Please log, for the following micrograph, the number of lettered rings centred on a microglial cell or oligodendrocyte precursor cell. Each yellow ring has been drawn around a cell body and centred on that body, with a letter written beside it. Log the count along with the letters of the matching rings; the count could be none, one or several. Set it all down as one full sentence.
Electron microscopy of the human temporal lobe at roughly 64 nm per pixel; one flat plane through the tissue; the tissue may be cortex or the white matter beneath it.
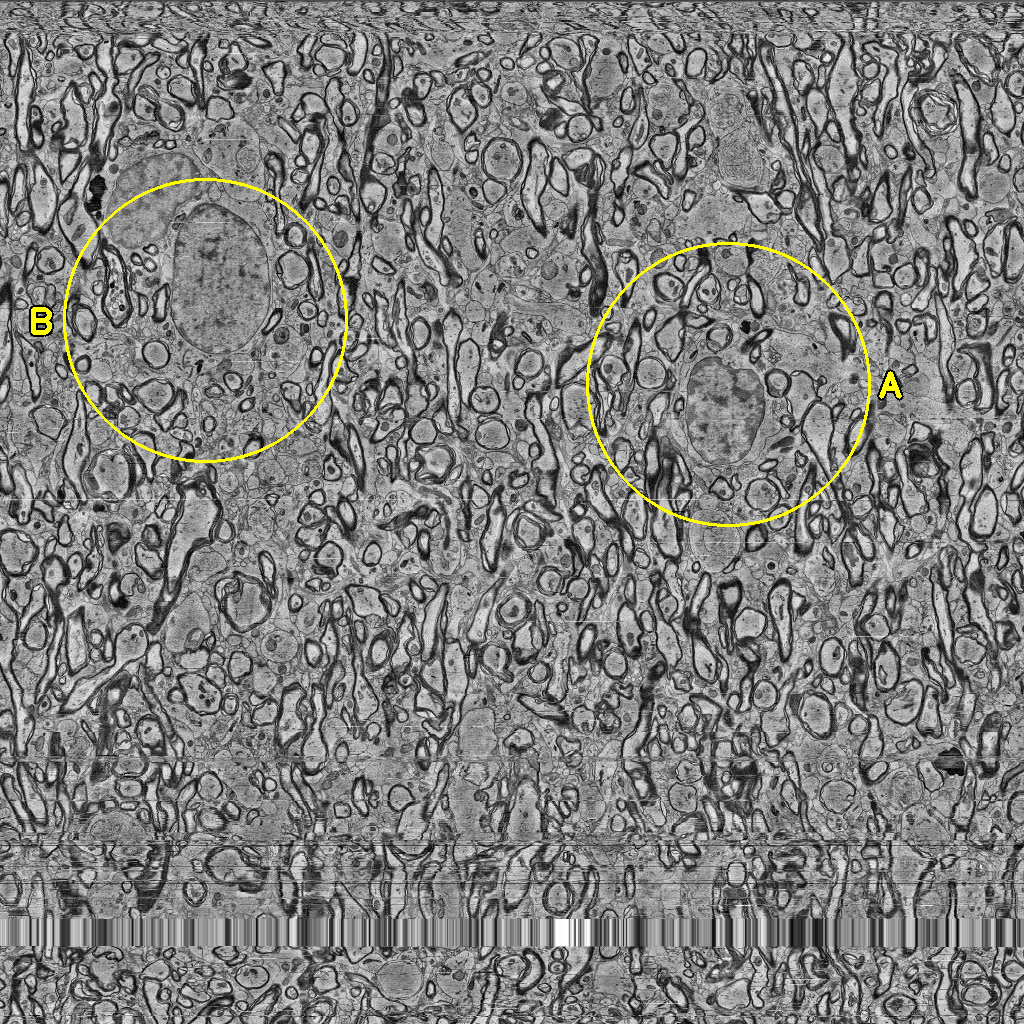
Here two rings, namely those with the letters A and B, are centred on a microglial cell or oligodendrocyte precursor cell apiece.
